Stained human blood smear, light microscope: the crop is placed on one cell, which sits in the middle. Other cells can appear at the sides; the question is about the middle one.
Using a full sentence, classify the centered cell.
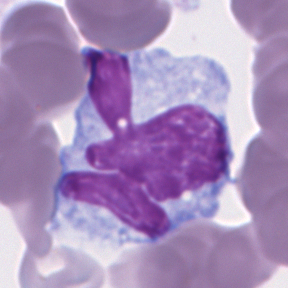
The single cell at the center of the crop is a monocyte.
